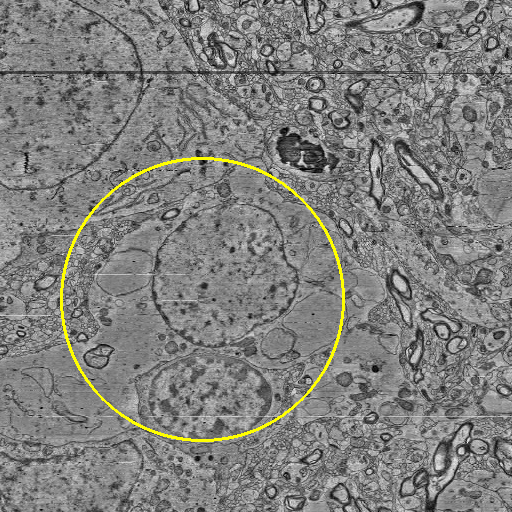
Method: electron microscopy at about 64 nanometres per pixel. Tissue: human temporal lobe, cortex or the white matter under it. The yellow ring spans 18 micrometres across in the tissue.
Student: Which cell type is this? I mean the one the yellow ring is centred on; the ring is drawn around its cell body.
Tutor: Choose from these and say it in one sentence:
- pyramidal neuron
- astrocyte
The cell the ring is centred on is an astrocyte.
